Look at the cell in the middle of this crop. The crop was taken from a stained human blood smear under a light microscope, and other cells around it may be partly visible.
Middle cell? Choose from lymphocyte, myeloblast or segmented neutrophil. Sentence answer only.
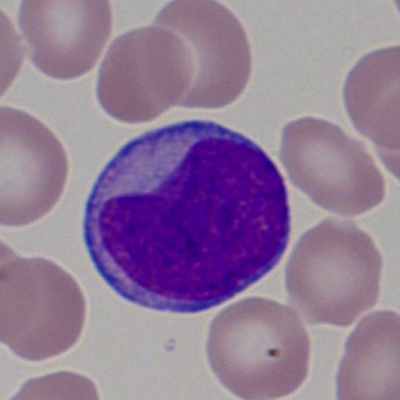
The cell around which this crop is centred is a myeloblast.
